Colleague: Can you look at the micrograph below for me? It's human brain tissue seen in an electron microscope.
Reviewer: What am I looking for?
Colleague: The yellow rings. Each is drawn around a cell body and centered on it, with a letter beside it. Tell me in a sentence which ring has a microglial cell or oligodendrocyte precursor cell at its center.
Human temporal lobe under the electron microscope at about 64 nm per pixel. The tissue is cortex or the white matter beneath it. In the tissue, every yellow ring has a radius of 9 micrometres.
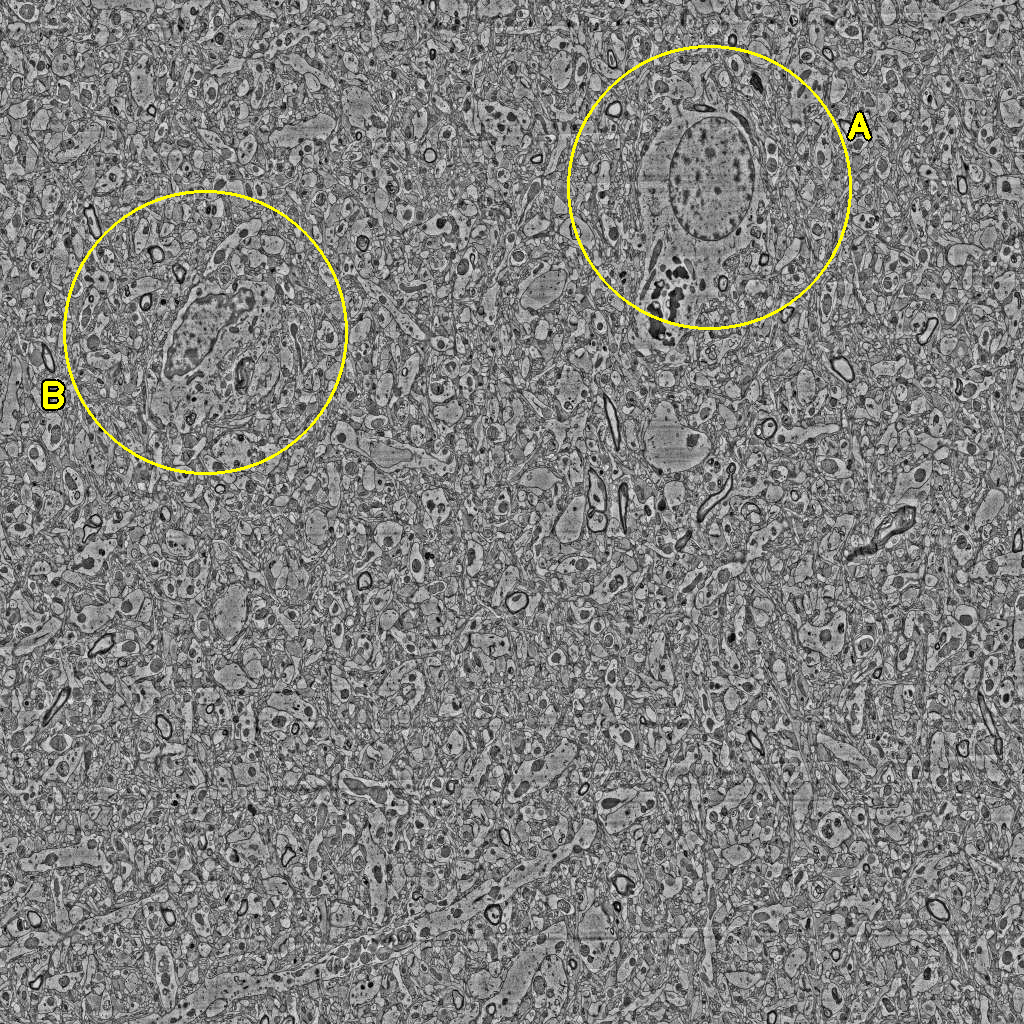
It's the cell in ring B.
